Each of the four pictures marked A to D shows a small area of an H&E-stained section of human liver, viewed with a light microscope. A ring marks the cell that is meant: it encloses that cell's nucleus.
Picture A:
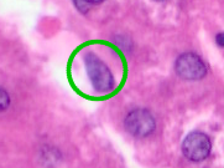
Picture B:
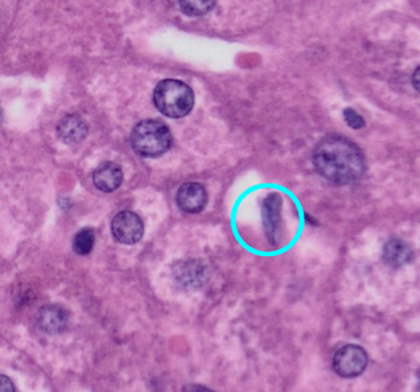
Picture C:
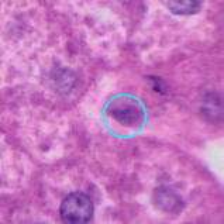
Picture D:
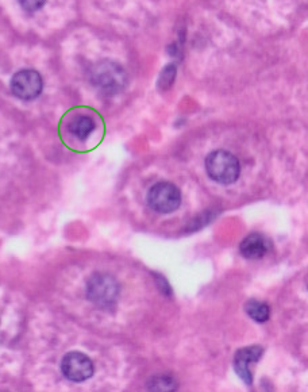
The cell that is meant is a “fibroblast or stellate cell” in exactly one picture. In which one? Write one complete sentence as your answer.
The picture with the “fibroblast or stellate cell” is D.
